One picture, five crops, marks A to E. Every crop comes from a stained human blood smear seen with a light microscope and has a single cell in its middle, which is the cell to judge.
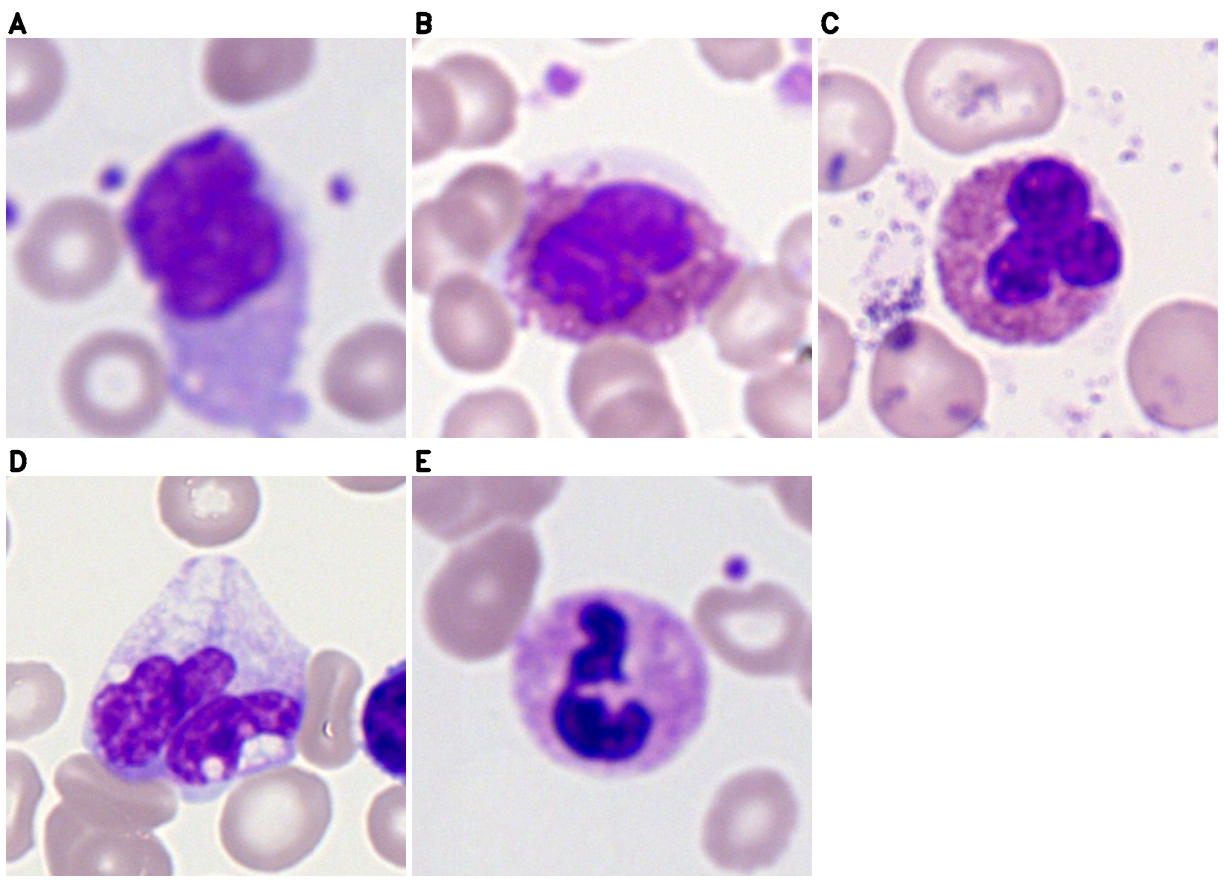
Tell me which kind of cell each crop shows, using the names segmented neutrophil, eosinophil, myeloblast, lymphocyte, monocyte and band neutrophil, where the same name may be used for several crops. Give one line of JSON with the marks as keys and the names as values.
{"A": "monocyte", "B": "eosinophil", "C": "eosinophil", "D": "monocyte", "E": "segmented neutrophil"}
